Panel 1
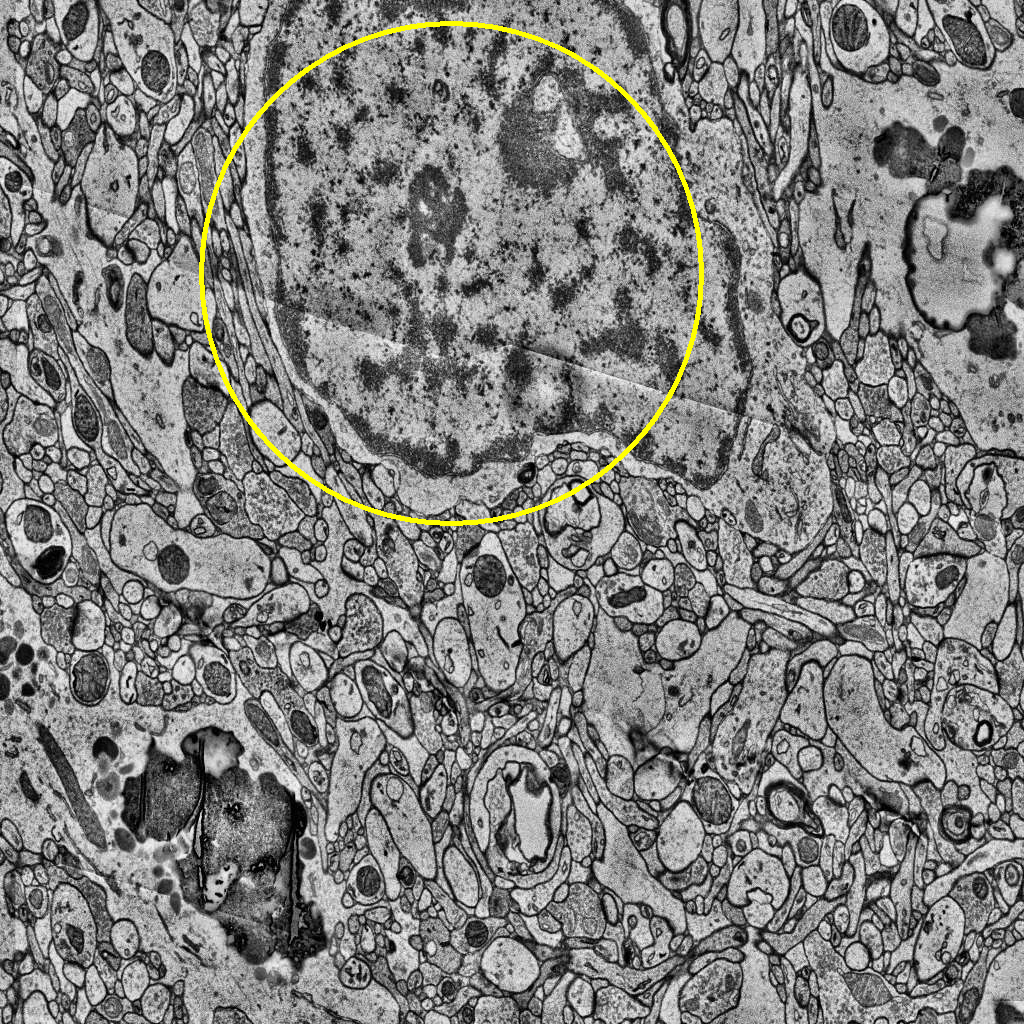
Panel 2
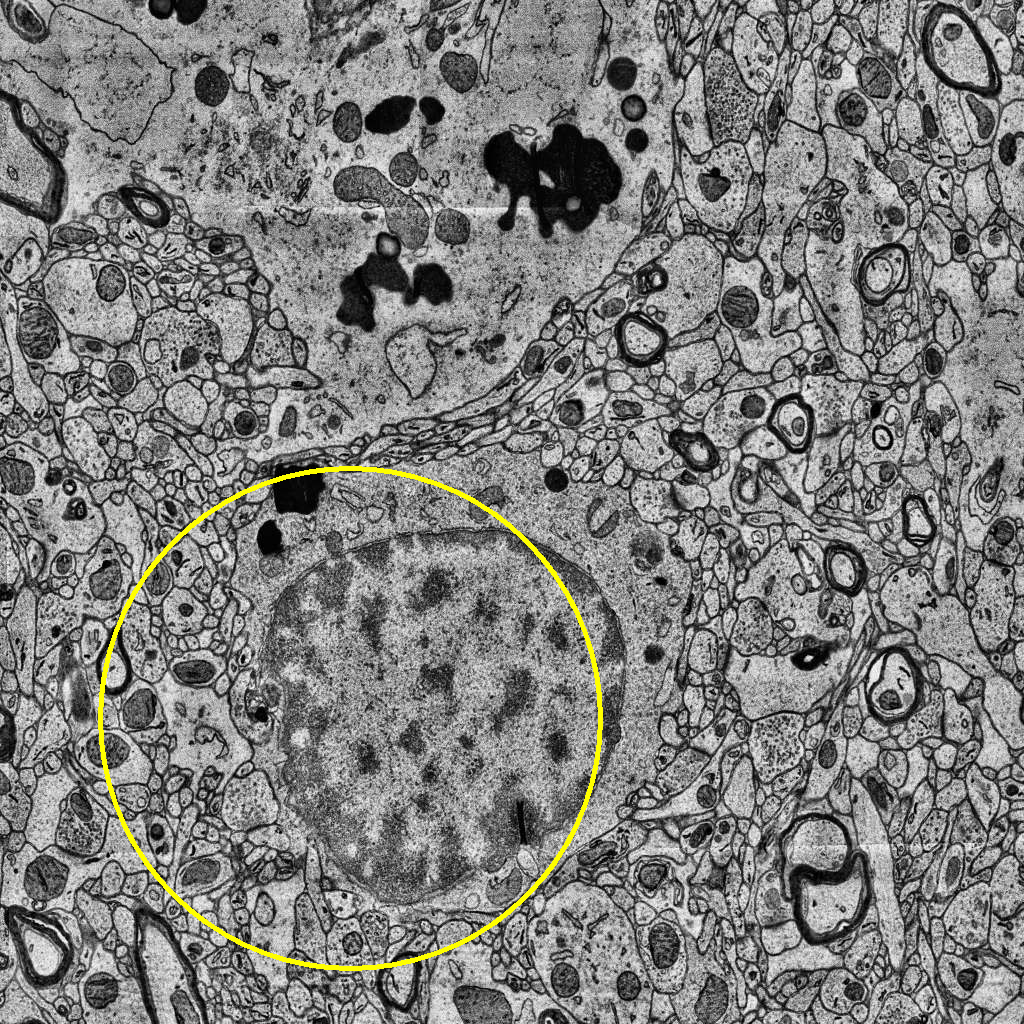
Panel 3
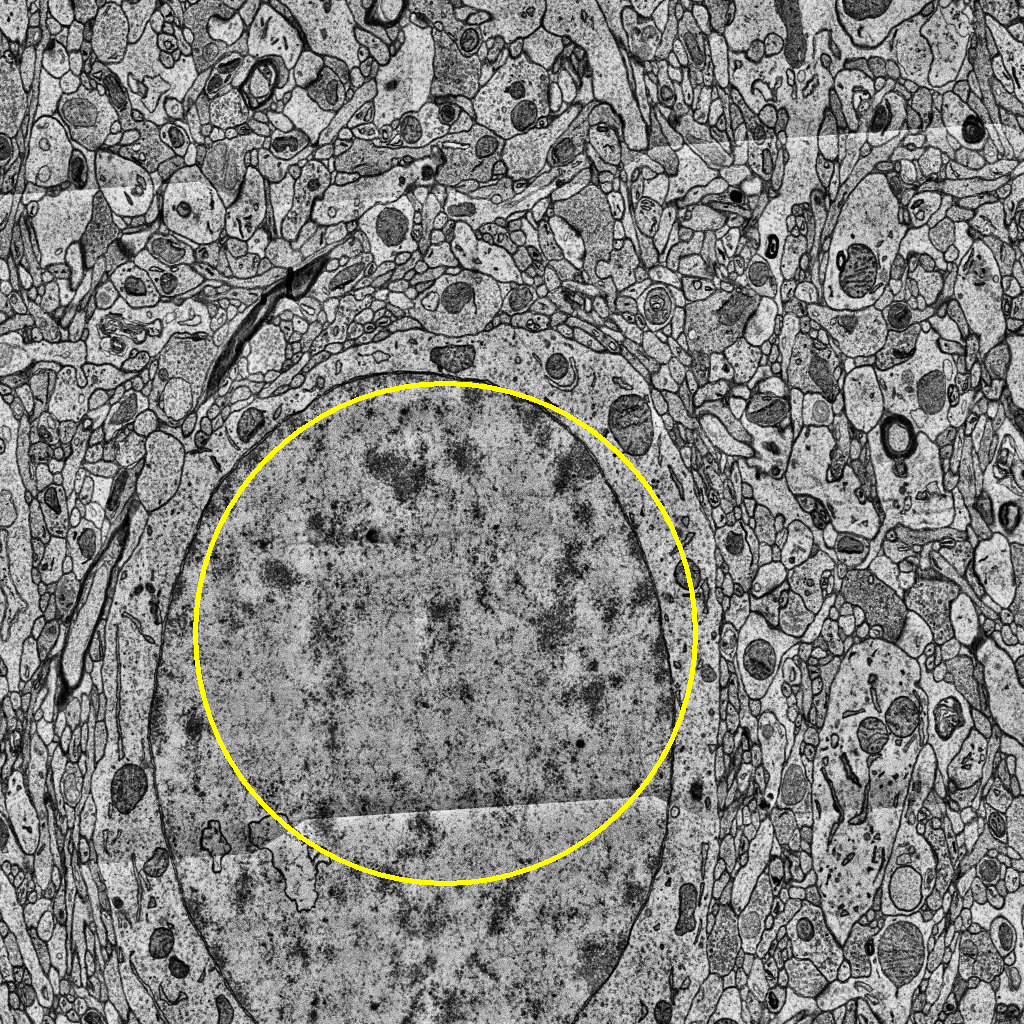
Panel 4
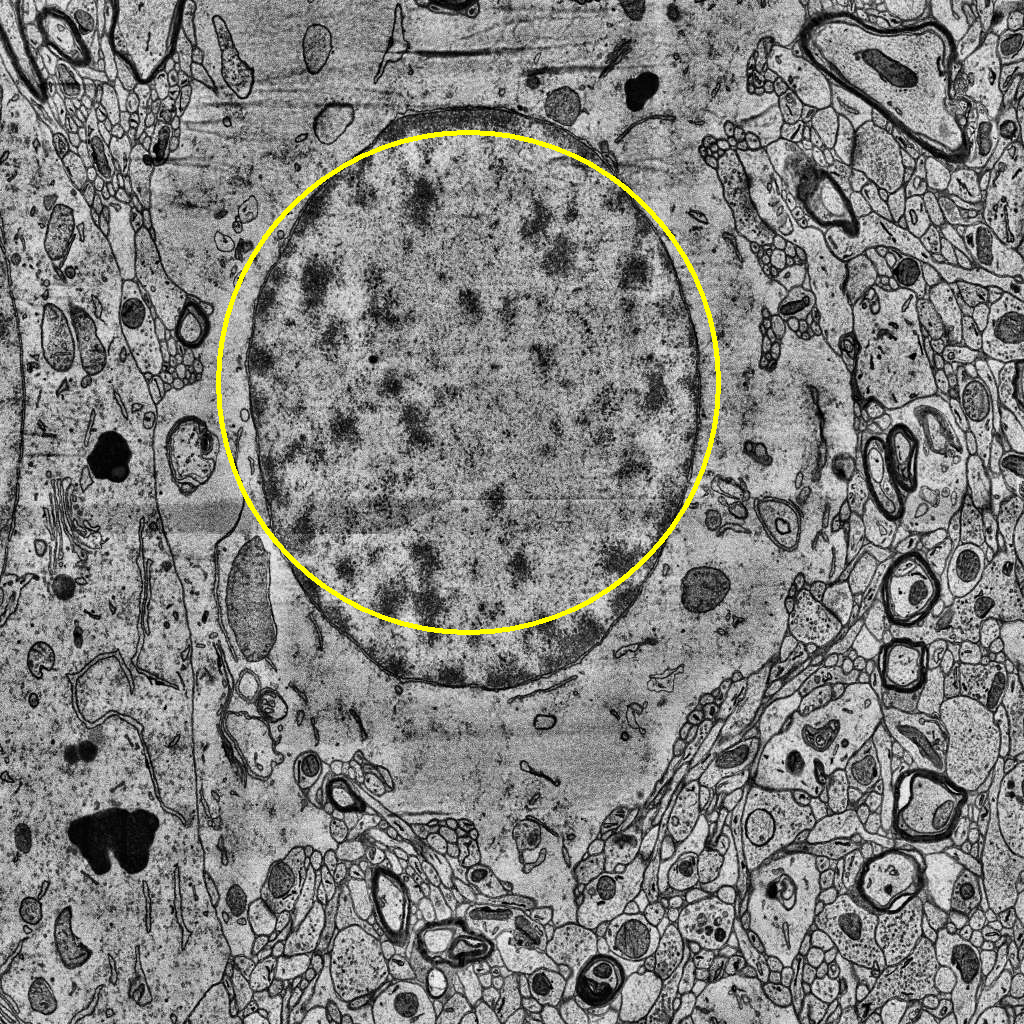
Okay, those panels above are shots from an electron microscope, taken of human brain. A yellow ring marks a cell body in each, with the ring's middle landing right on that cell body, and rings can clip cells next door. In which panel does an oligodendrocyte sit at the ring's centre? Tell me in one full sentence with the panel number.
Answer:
The cell you asked for has the ring's centre inside it in panel 2.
